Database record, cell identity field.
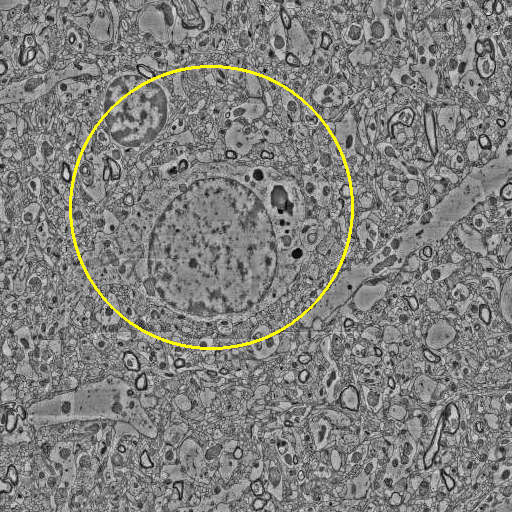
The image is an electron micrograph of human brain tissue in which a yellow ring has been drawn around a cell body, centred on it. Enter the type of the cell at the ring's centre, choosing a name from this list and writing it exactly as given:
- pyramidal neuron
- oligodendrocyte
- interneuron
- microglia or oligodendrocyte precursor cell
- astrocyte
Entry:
interneuron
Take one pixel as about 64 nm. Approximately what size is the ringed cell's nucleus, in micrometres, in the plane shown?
About 9 micrometres across in this plane, for the nucleus.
